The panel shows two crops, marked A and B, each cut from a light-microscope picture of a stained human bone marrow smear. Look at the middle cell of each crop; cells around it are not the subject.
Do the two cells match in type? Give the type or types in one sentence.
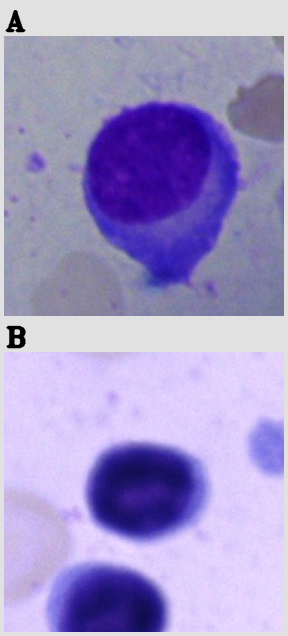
No, a plasma cell is depicted by crop A, a lymphocyte by crop B.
